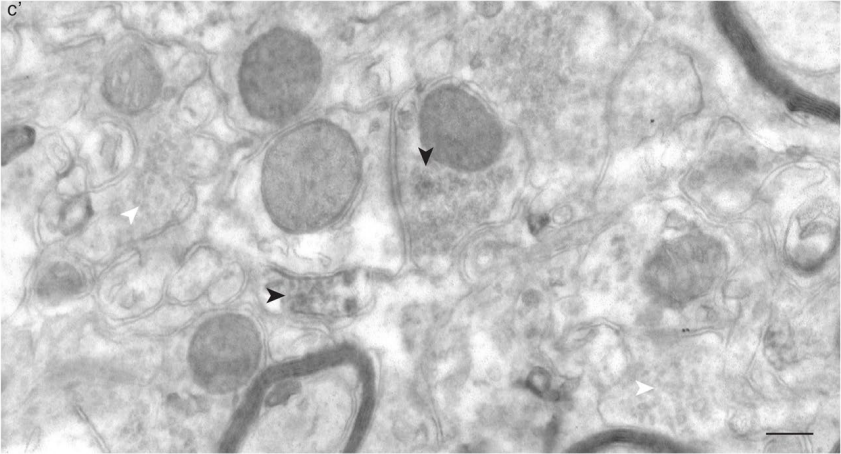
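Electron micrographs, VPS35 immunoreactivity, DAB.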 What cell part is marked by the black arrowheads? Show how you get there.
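Synaptic vesicle cloud. The black arrowheads point at clusters of small round vesicles inside membrane-bound profiles. These vesicle clusters are coated by a dark granular deposit.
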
